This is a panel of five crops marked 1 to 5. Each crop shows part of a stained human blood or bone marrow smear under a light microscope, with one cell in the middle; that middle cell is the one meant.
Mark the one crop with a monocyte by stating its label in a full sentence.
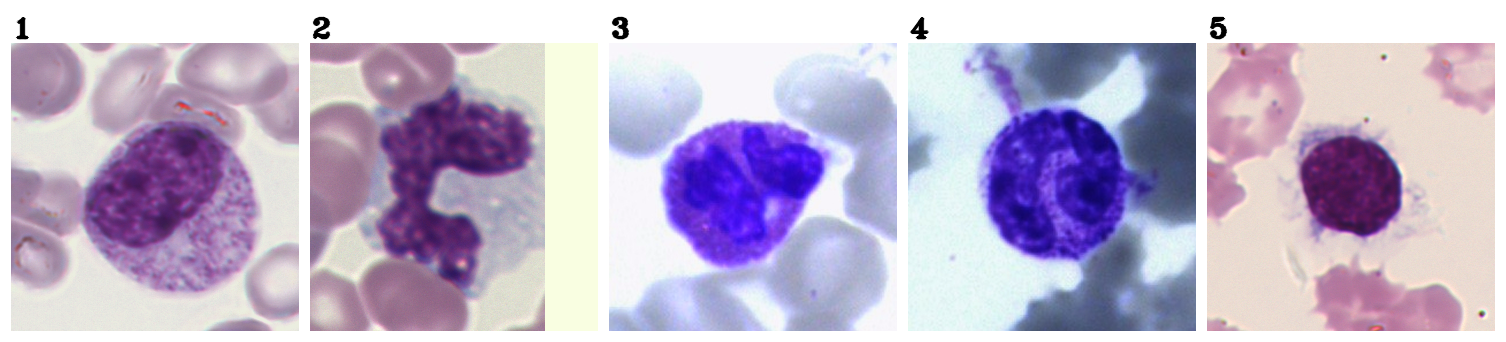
The crop that shows a monocyte is crop 2.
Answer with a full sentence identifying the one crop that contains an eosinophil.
Here the crop that shows an eosinophil is crop 3.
